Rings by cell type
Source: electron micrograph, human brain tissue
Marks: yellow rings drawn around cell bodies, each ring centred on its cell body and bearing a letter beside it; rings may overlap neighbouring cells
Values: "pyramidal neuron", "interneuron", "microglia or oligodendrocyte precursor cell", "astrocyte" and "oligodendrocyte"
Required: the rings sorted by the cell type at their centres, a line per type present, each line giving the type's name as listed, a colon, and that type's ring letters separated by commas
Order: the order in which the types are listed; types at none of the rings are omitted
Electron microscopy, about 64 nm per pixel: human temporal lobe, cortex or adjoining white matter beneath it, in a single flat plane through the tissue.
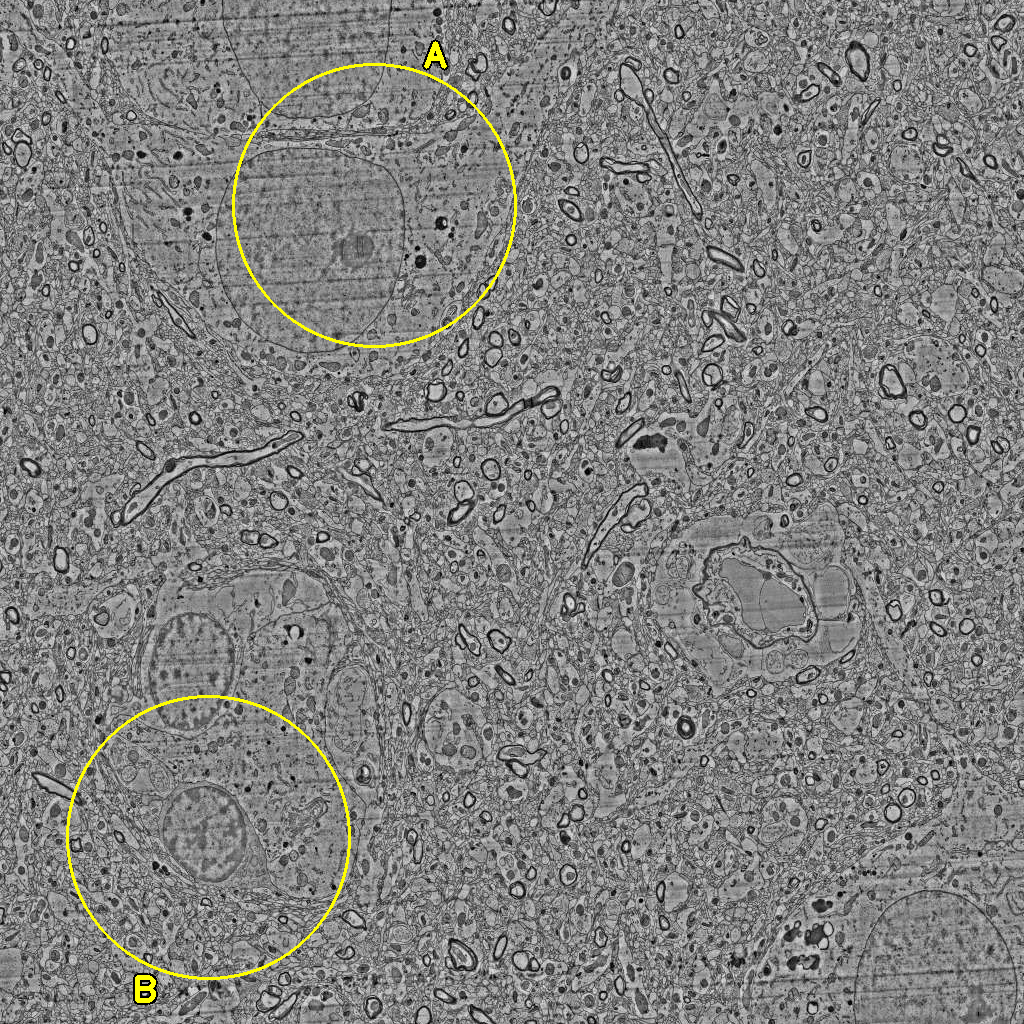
pyramidal neuron: A
oligodendrocyte: B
